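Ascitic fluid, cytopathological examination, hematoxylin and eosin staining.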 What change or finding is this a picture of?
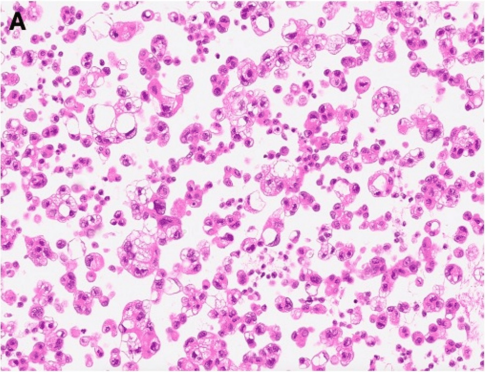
cell clusters with nuclear enlargement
